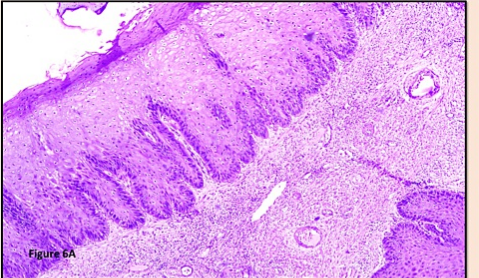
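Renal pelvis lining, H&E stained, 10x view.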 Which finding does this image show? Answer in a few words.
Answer: squamous metaplasia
